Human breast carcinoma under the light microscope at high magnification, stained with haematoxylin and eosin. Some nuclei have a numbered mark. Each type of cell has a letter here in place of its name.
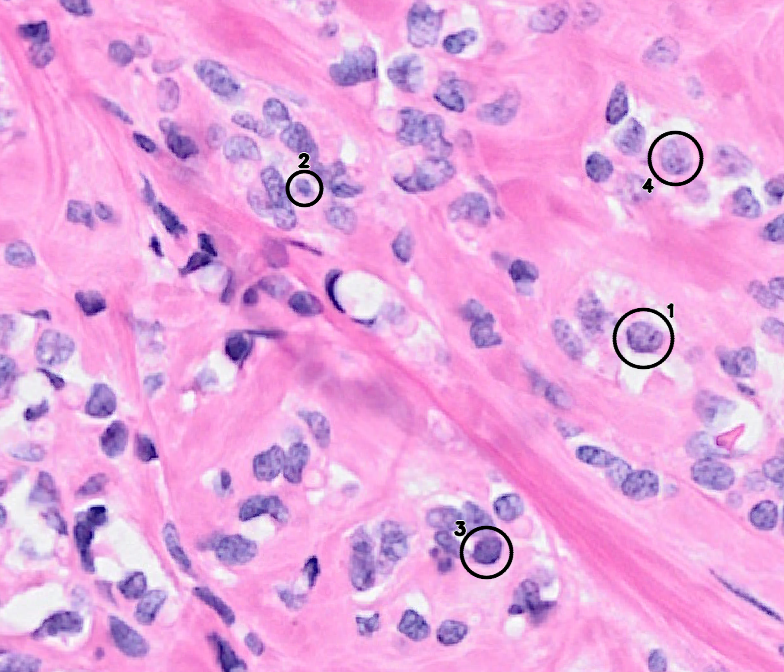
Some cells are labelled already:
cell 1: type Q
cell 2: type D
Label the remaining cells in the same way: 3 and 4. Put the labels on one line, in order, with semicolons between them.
type Q; type Q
